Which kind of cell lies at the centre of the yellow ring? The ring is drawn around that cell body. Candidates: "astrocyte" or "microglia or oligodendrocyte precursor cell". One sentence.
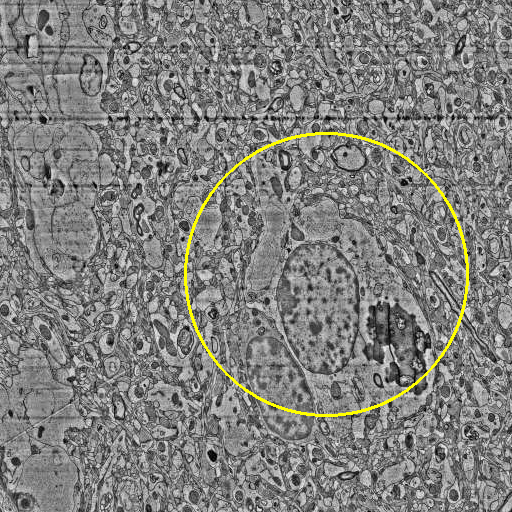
Lying at the centre of the ring is an astrocyte.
